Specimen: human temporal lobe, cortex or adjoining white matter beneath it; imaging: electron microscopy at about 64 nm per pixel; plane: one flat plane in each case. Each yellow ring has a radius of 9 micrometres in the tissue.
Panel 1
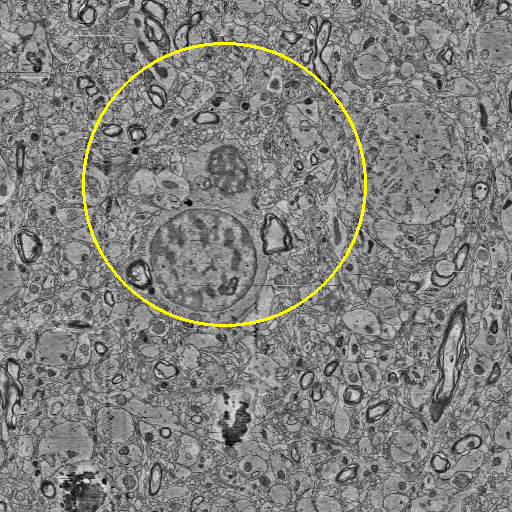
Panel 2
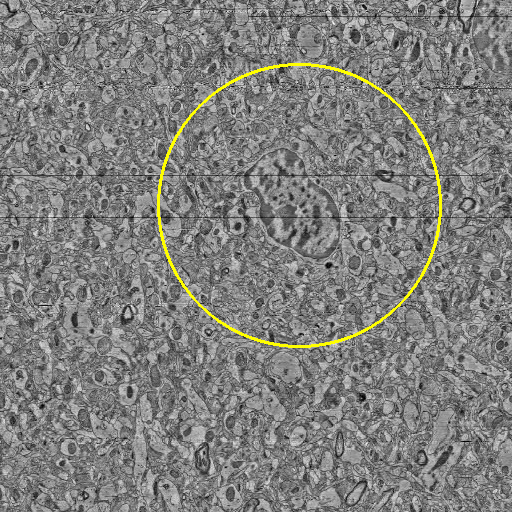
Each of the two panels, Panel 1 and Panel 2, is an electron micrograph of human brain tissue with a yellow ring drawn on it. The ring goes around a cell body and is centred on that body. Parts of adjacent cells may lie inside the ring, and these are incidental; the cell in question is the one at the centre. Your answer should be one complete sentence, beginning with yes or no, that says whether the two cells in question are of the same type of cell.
No, the two cells are of two types.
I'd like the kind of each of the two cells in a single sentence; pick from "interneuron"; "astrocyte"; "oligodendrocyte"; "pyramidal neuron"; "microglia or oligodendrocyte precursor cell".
The first ring marks an oligodendrocyte, and the second ring marks a microglial cell or oligodendrocyte precursor cell.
